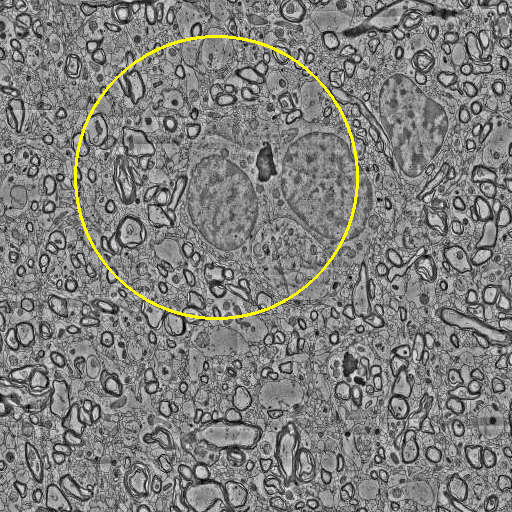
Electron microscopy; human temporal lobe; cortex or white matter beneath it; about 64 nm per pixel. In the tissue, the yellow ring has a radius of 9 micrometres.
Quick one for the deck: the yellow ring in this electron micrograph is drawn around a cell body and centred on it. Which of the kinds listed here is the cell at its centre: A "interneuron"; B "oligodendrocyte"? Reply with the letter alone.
B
